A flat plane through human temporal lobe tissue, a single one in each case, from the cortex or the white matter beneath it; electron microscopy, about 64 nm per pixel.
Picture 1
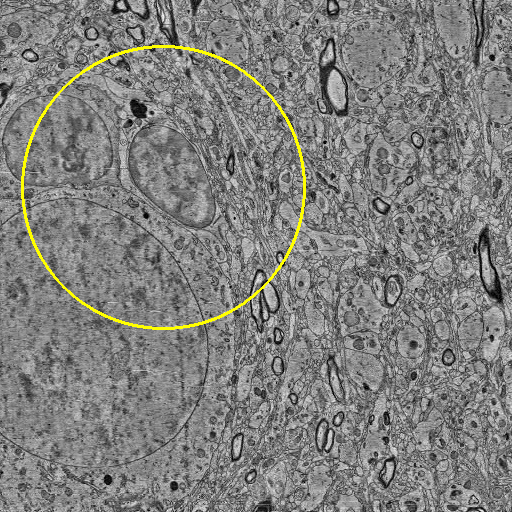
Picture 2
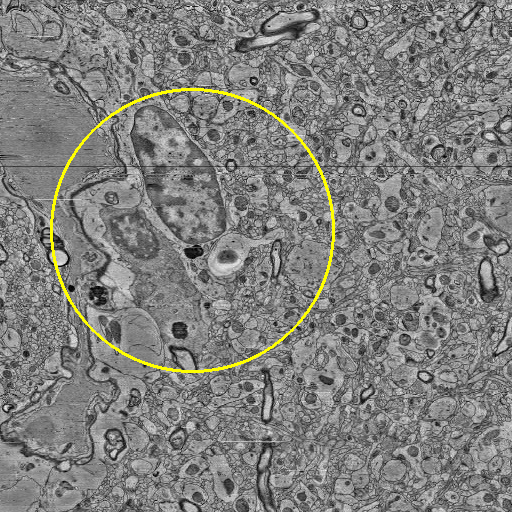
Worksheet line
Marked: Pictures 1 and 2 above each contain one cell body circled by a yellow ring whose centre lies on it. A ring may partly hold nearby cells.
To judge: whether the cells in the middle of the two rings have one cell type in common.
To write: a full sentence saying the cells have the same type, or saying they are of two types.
The cells in the middle of the rings in Picture 1 and Picture 2 have the same type.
